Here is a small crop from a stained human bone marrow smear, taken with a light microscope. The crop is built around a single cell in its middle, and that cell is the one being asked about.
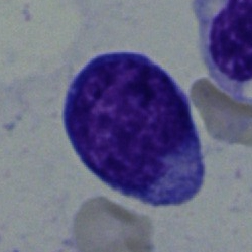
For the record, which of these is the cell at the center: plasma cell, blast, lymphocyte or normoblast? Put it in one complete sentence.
Where the crop is centred, there is a blast.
